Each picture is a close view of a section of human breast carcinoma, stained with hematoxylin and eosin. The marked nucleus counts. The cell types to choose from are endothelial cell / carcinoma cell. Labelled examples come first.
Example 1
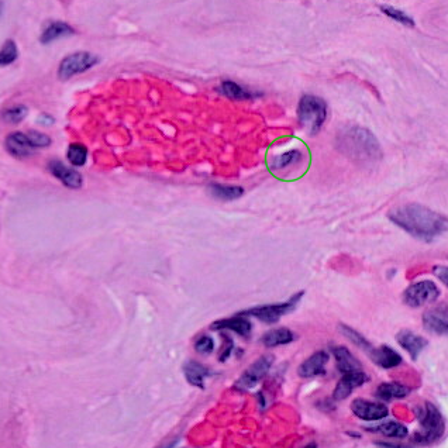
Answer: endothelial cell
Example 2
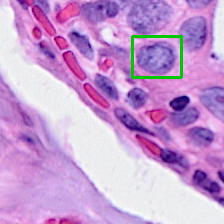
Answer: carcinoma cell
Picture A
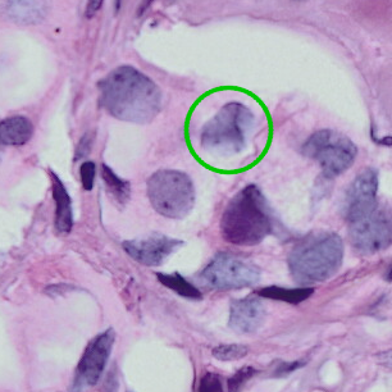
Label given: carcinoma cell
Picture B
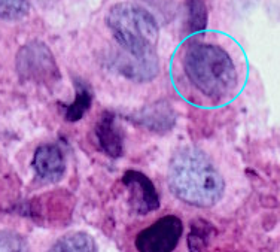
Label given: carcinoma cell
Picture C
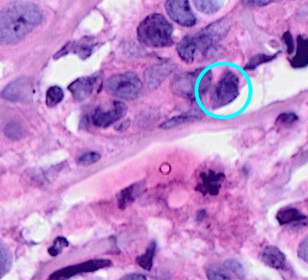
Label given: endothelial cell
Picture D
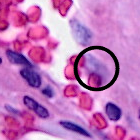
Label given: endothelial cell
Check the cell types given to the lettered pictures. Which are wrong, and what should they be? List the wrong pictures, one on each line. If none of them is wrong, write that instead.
C: change endothelial cell to carcinoma cell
